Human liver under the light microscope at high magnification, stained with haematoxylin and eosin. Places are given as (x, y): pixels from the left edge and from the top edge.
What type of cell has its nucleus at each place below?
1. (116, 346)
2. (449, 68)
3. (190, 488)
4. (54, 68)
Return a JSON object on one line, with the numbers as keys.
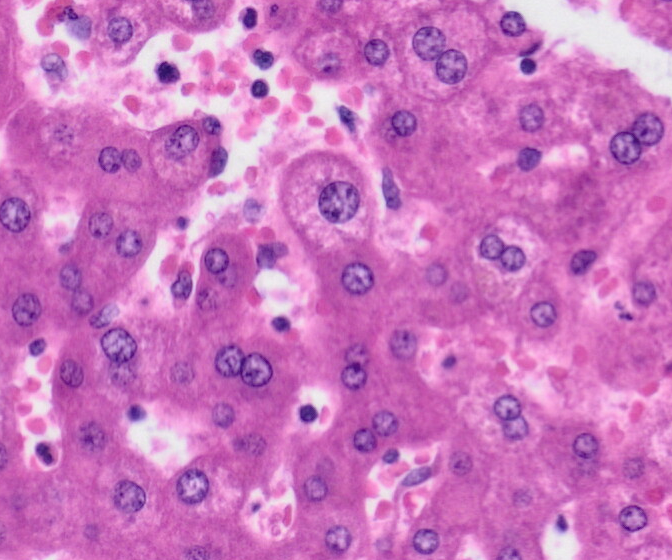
{"1": "hepatocyte", "2": "hepatocyte", "3": "hepatocyte", "4": "Kupffer cell"}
